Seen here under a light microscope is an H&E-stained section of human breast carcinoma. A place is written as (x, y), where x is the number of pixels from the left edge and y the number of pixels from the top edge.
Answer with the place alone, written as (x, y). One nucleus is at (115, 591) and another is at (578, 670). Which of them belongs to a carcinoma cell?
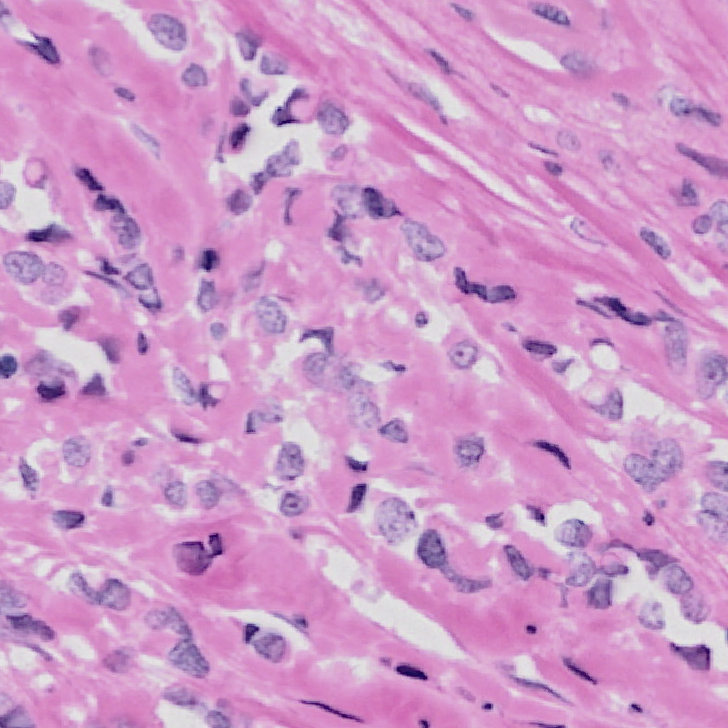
(115, 591)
